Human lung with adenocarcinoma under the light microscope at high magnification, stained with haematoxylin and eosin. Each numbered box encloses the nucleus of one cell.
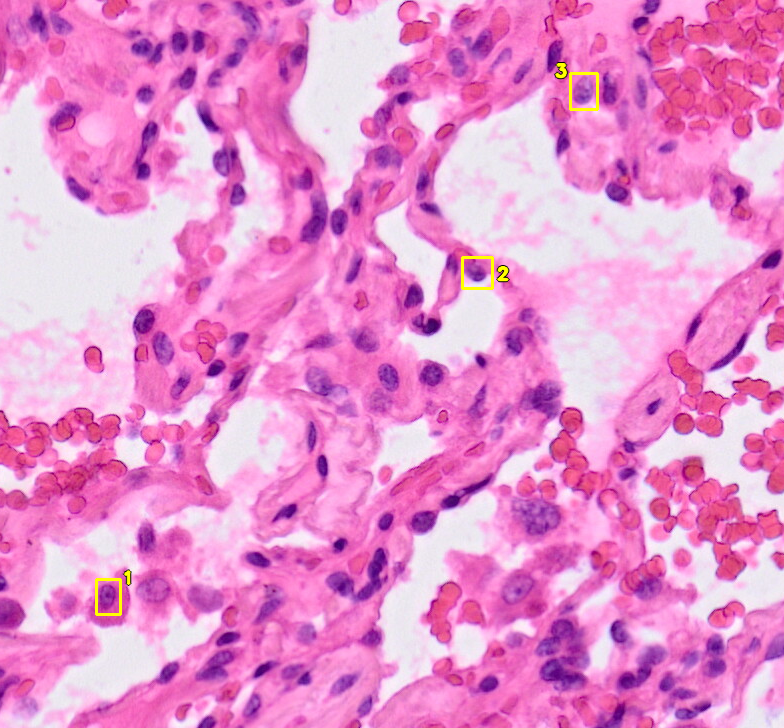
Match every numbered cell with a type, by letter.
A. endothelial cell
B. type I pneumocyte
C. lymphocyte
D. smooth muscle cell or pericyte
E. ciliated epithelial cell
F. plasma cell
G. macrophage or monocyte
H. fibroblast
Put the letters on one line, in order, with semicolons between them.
G; B; B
